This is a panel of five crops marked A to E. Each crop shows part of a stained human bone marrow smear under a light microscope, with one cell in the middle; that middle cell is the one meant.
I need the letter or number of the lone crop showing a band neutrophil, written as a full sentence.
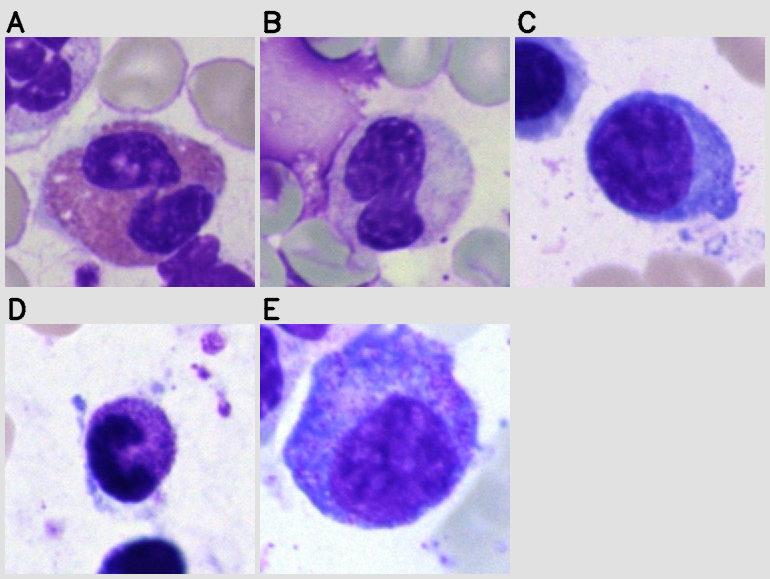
Among the crops, only crop B contains a band neutrophil.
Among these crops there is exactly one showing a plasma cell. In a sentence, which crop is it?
Crop C shows a plasma cell, and no other crop does.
